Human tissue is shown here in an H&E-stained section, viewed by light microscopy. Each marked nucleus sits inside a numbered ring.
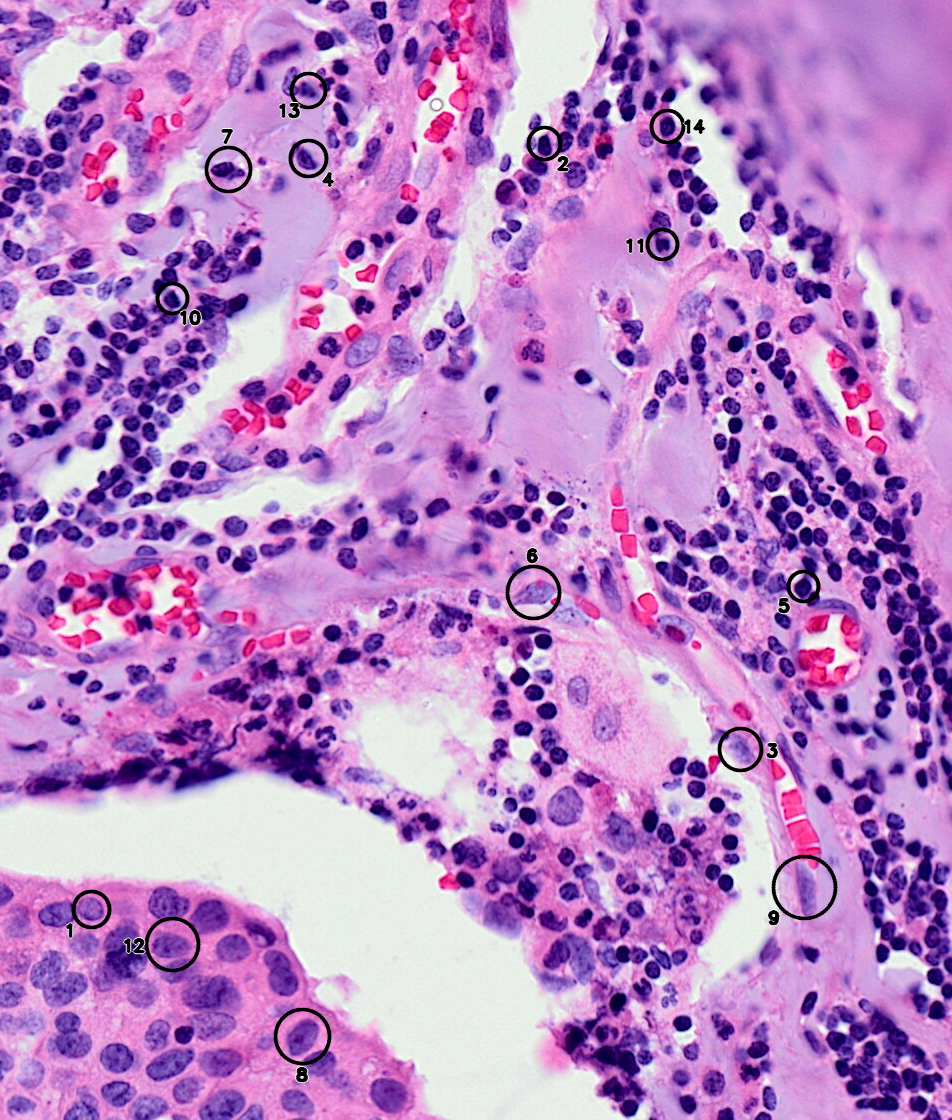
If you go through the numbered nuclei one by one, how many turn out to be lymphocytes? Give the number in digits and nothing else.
8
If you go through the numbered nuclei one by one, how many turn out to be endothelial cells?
3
